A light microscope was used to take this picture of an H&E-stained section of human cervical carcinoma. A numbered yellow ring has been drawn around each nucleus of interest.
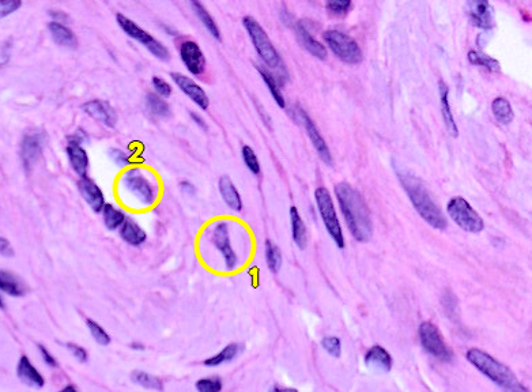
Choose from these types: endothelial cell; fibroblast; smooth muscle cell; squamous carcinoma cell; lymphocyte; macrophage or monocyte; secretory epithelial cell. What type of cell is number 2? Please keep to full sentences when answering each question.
Looking at the numbered marks, cell 2 is an endothelial cell.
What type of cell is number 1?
The marked nucleus 1 is that of a fibroblast.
